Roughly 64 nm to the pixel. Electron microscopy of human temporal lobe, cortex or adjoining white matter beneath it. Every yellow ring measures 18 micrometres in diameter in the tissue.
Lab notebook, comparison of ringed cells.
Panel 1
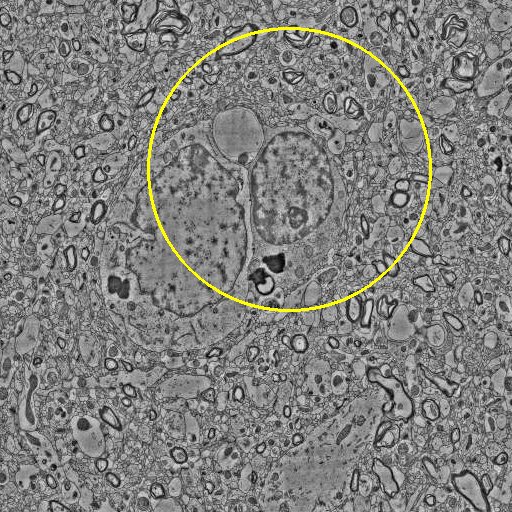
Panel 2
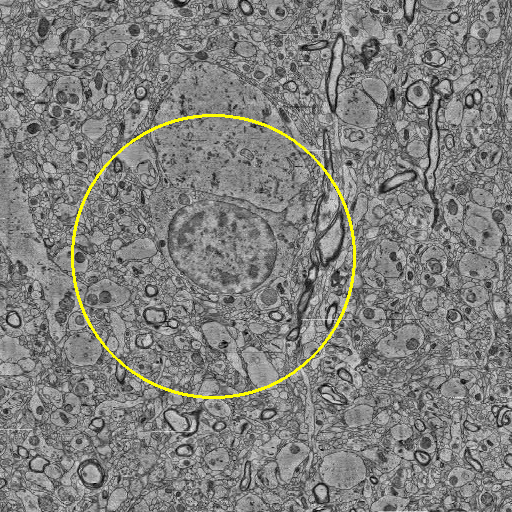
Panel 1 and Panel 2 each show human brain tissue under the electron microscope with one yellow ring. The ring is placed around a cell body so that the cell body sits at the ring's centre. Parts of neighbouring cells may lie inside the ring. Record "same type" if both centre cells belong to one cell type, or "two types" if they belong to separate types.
same type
